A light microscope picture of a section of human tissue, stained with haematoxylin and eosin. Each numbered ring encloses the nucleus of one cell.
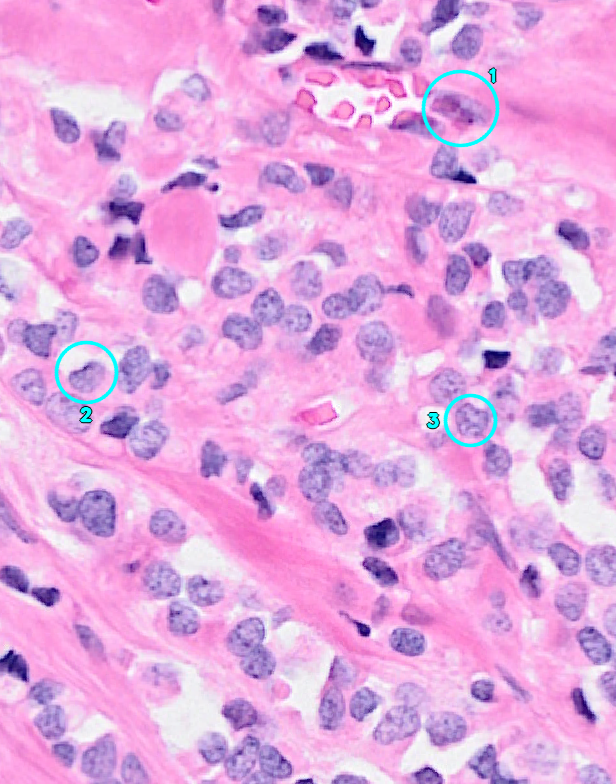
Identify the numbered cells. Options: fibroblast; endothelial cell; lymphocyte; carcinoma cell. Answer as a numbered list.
1. endothelial cell
2. carcinoma cell
3. carcinoma cell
